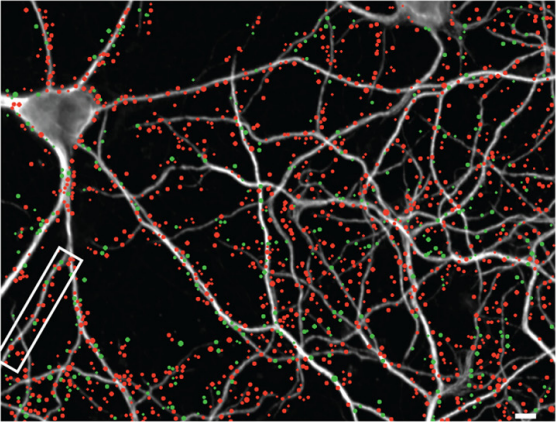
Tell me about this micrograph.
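Long, tapering, branching dendrites spread from it into a dense network across the field. Many small red and fewer green dots of varying size are strung along these processes, and some lie in the spaces between them.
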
